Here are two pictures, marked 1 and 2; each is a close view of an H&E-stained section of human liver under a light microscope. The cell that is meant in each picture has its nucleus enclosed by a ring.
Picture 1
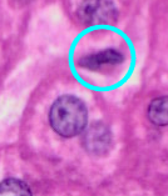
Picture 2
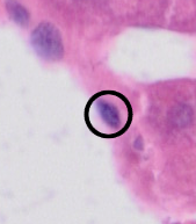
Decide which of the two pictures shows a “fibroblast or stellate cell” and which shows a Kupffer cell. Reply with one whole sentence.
Picture 2 shows a “fibroblast or stellate cell”, while picture 1 shows a Kupffer cell.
